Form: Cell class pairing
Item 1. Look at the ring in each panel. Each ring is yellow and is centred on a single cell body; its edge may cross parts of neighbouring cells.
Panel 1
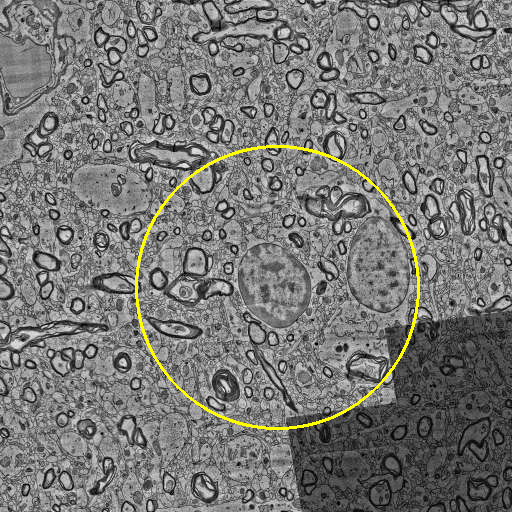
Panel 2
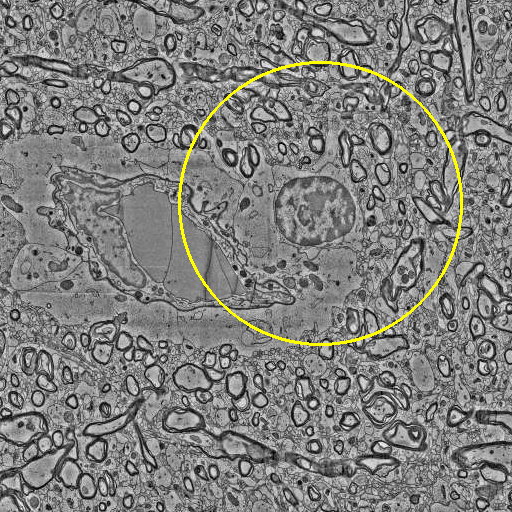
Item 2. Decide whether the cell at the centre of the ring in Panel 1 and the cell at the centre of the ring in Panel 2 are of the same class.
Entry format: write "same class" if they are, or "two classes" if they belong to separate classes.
same class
